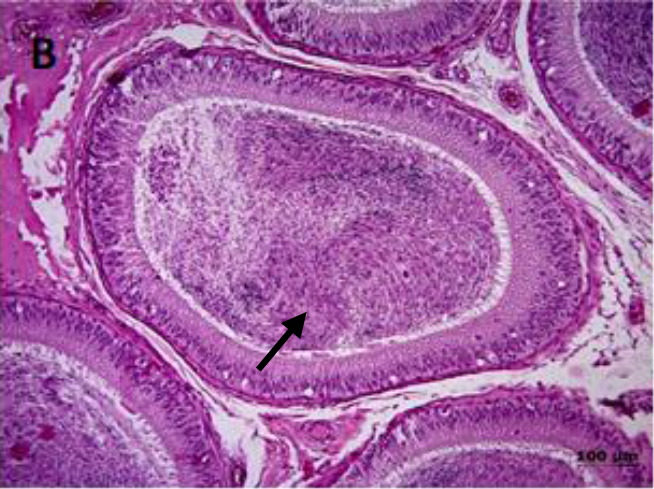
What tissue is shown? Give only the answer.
epididymis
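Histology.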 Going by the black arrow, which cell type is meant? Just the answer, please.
Spermatozoa.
